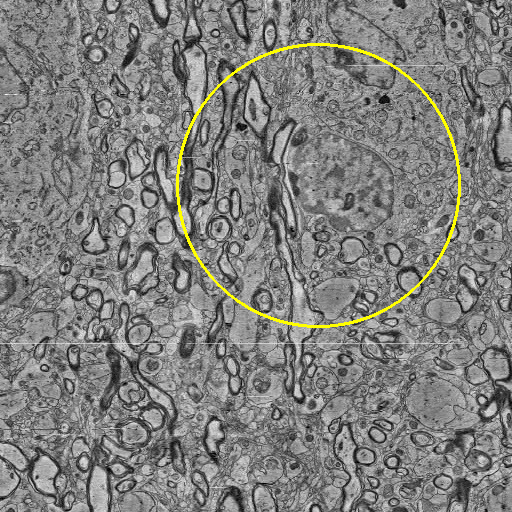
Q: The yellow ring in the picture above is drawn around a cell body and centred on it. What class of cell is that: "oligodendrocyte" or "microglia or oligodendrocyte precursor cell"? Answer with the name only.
oligodendrocyte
